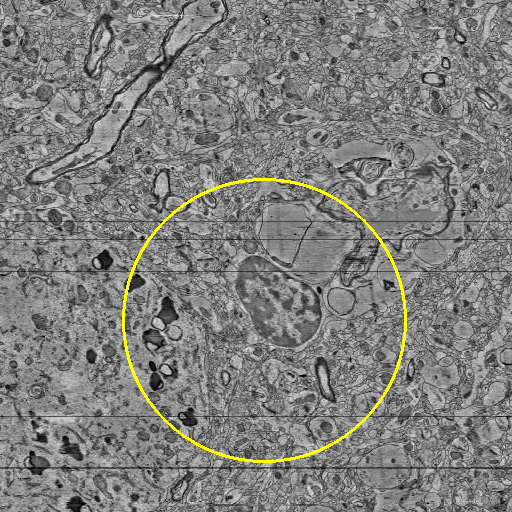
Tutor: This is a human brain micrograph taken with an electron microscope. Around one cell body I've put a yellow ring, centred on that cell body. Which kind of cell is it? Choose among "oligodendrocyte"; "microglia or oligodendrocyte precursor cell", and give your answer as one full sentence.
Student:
Going by your list, the cell centred in the yellow ring is a microglial cell or oligodendrocyte precursor cell.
